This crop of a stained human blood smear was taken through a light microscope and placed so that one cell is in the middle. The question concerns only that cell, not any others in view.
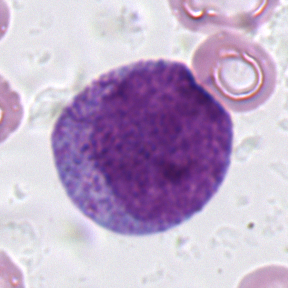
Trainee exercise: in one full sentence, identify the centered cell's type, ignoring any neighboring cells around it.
Positioned in the middle of the crop is a promyelocyte.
